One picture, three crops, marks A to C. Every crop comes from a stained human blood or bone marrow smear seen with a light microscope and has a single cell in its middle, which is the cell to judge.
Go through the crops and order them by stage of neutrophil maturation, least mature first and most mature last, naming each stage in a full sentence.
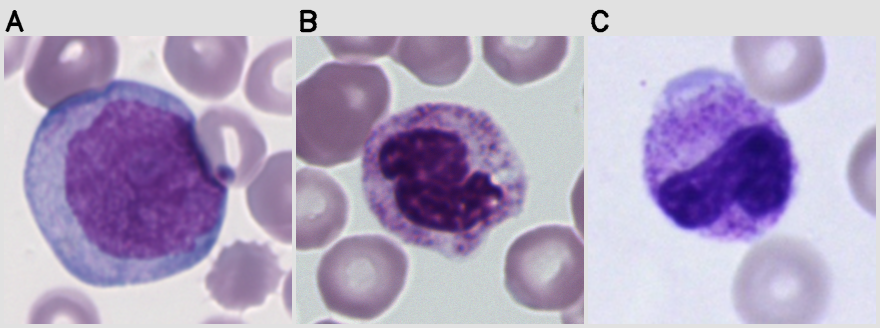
The sequence from earliest to latest maturation stage is crop A (a promyelocyte), crop C (a band neutrophil) and crop B (a segmented neutrophil).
